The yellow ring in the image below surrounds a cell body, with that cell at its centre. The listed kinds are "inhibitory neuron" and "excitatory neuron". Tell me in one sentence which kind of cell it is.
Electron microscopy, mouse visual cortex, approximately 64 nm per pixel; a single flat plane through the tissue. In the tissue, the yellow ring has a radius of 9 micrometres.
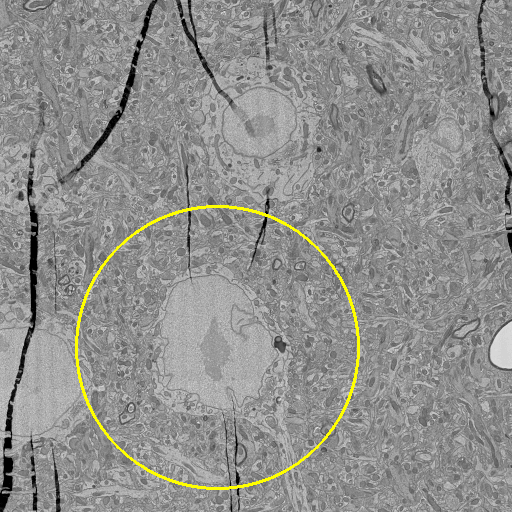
The centre of the ring holds an inhibitory neuron.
